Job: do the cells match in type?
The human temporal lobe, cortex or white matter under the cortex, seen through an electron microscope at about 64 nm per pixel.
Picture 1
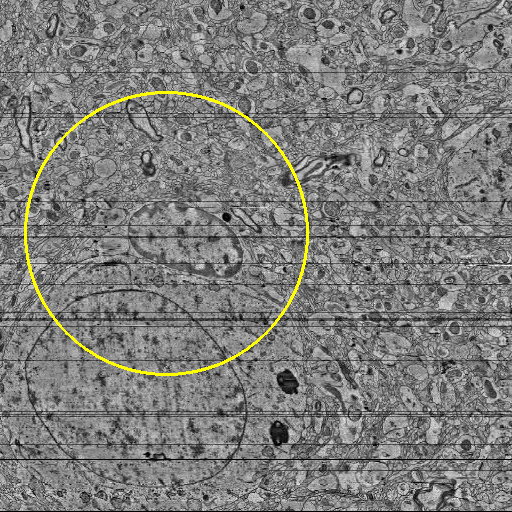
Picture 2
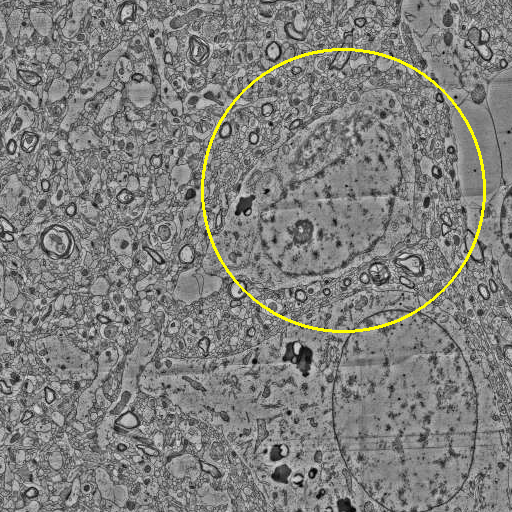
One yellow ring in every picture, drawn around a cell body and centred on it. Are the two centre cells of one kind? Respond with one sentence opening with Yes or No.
No, the ringed cells in the two pictures are of two separate kinds.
